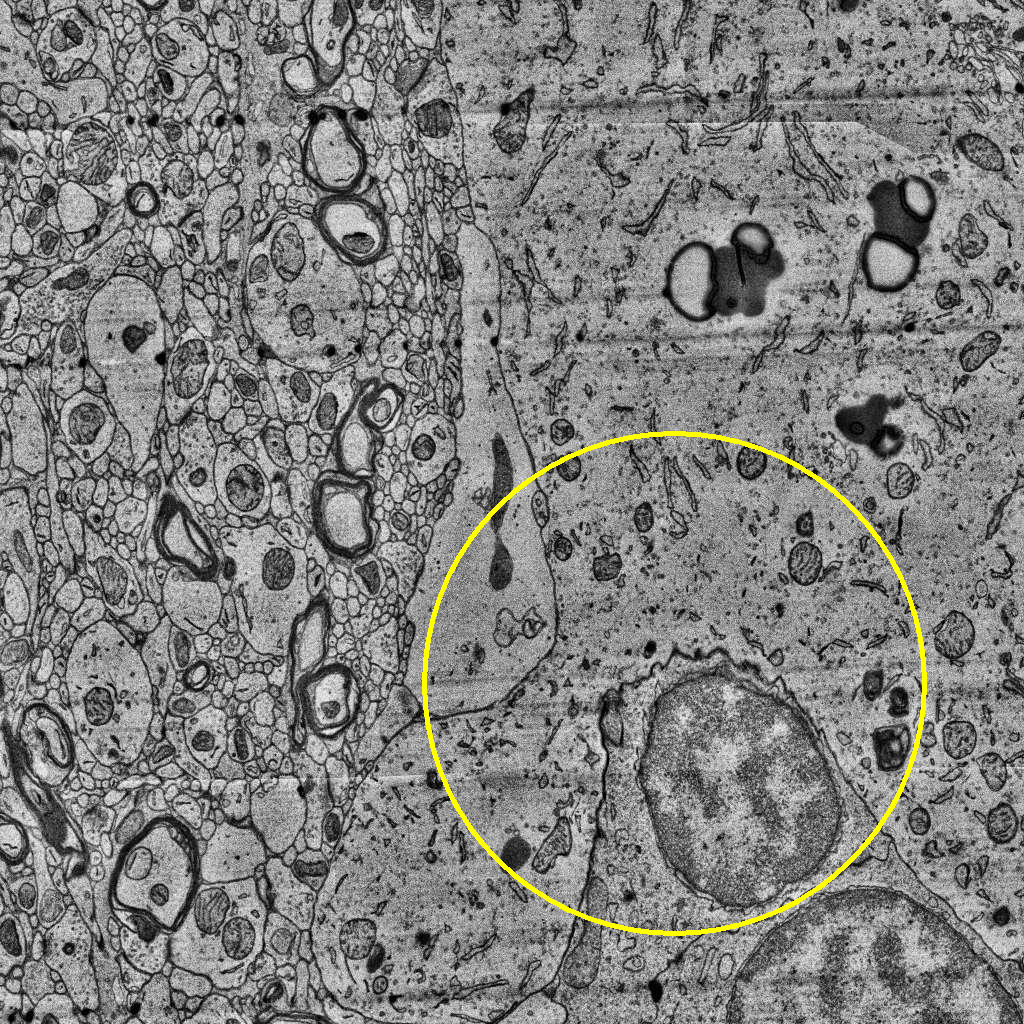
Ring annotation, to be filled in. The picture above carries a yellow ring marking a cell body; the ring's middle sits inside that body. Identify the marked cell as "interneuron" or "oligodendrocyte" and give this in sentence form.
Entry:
The cell at the middle of the ring is an oligodendrocyte.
